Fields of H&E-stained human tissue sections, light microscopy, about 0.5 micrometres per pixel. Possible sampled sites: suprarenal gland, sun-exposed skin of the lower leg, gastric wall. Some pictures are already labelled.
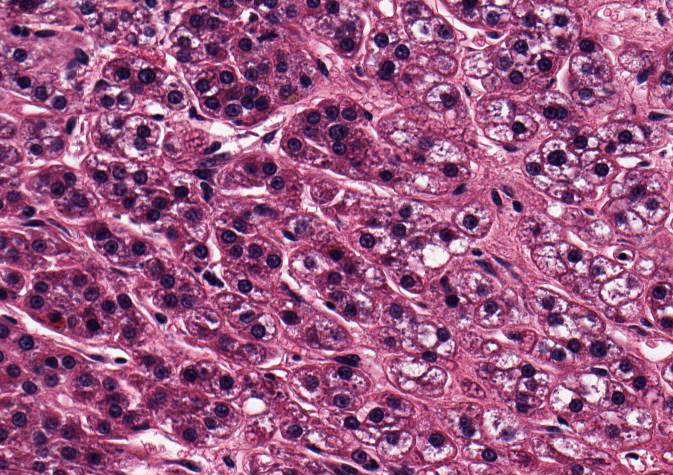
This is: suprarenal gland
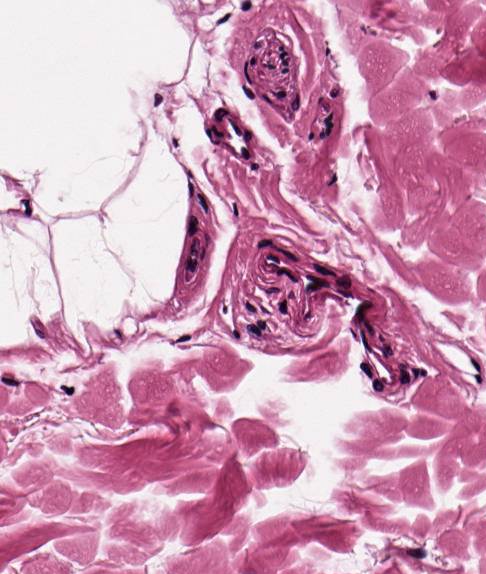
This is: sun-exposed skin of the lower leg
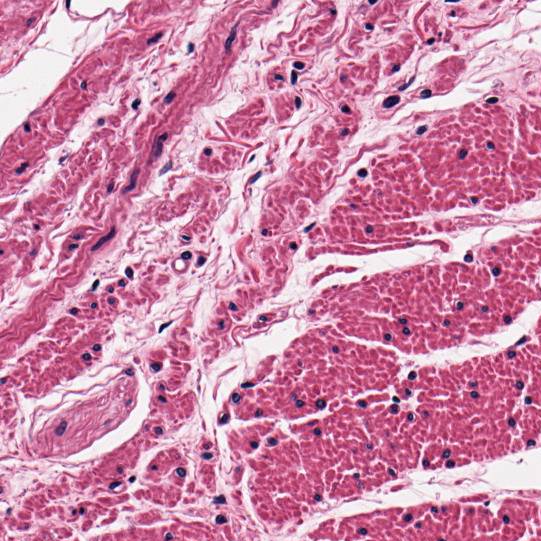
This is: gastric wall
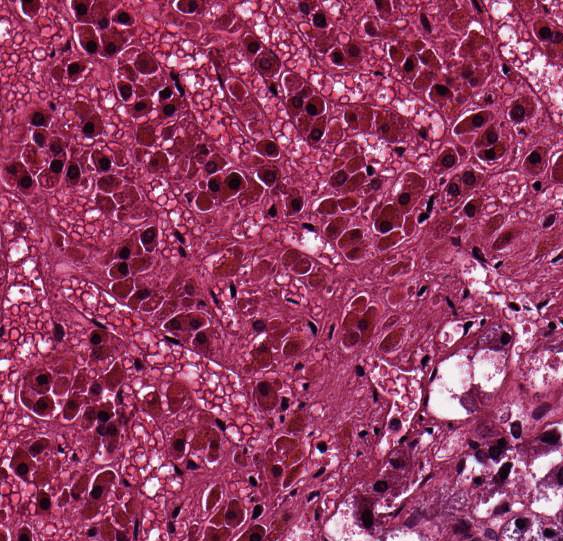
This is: suprarenal gland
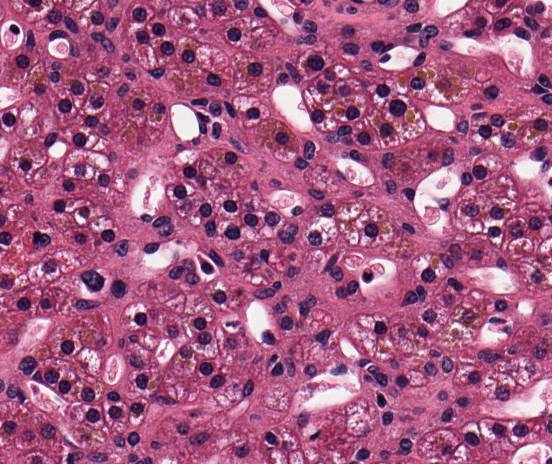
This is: suprarenal gland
